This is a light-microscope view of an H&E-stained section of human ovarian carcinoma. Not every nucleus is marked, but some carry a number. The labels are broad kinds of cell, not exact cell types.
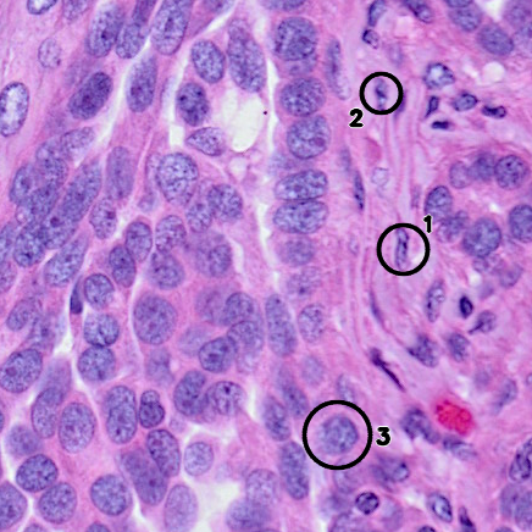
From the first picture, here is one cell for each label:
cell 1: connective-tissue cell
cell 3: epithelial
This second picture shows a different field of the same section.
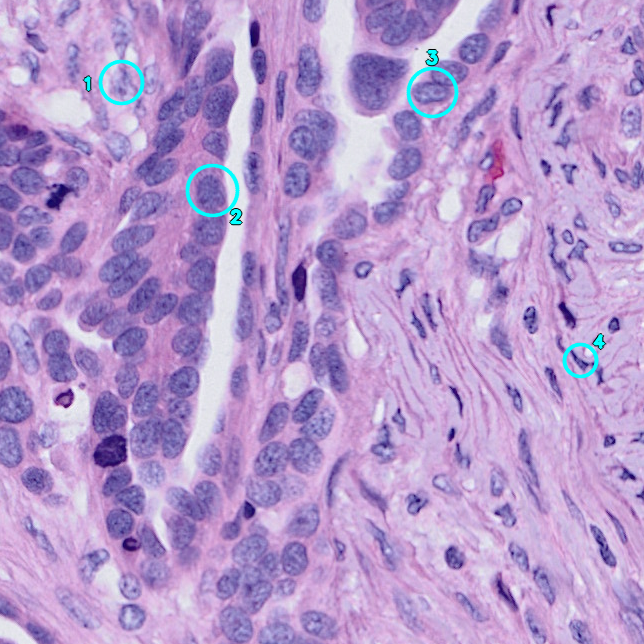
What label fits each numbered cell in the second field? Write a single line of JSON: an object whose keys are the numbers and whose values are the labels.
{"1": "connective-tissue cell", "2": "epithelial", "3": "epithelial", "4": "connective-tissue cell"}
